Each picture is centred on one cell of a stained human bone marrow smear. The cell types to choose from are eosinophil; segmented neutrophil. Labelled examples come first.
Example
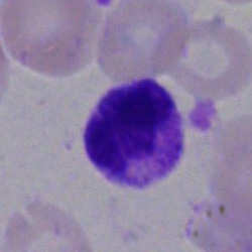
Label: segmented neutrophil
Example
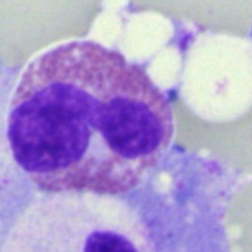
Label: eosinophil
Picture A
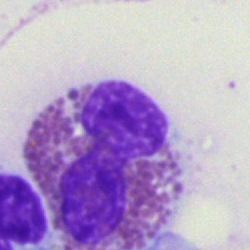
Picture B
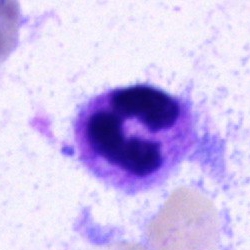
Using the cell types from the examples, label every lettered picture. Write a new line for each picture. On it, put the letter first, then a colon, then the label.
A: eosinophil
B: segmented neutrophil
